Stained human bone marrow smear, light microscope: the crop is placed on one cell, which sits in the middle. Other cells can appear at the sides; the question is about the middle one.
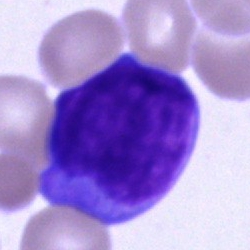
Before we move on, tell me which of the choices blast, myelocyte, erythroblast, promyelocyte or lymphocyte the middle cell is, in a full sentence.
The cell in the middle of this crop is a blast.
